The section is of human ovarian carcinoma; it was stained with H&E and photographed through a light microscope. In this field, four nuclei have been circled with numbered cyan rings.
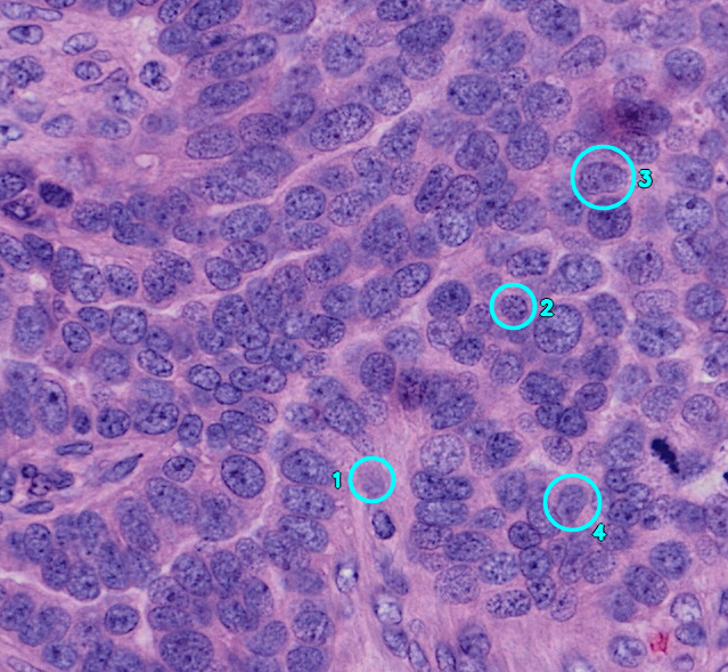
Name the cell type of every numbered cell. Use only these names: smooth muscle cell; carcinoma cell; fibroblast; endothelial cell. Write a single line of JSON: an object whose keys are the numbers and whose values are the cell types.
{"1": "fibroblast", "2": "carcinoma cell", "3": "carcinoma cell", "4": "carcinoma cell"}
